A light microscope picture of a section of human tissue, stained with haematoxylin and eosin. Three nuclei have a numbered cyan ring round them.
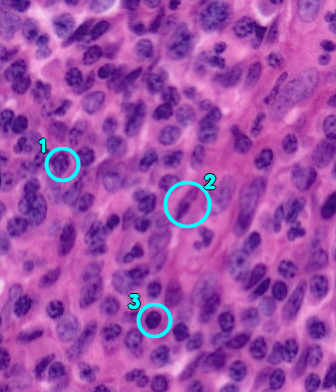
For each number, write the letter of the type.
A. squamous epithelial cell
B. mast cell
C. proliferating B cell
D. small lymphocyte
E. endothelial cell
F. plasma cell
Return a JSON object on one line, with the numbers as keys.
{"1": "F", "2": "A", "3": "F"}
